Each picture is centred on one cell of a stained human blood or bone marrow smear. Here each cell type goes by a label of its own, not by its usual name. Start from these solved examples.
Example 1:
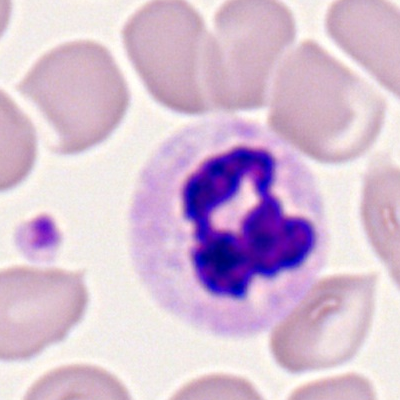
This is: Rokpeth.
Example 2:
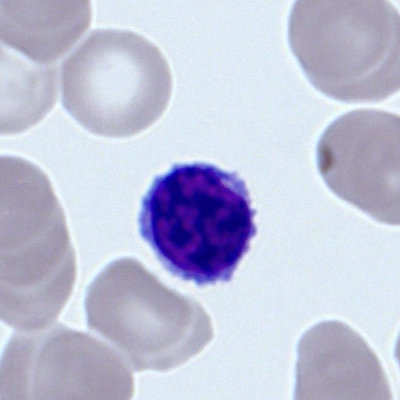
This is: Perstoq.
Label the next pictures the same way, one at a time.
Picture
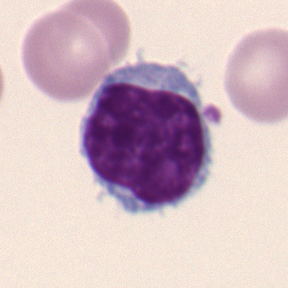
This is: Perstoq.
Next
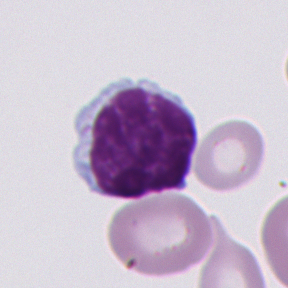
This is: Perstoq.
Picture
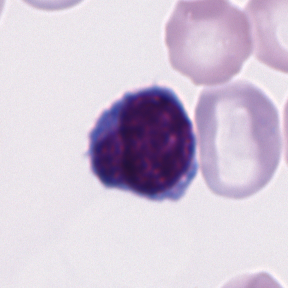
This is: Perstoq.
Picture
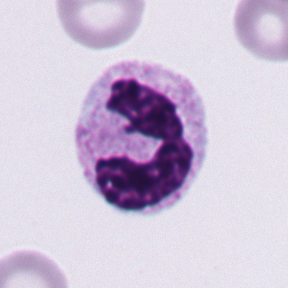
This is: Rokpeth.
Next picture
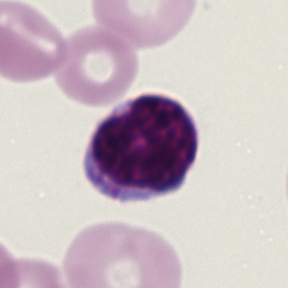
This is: Perstoq.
